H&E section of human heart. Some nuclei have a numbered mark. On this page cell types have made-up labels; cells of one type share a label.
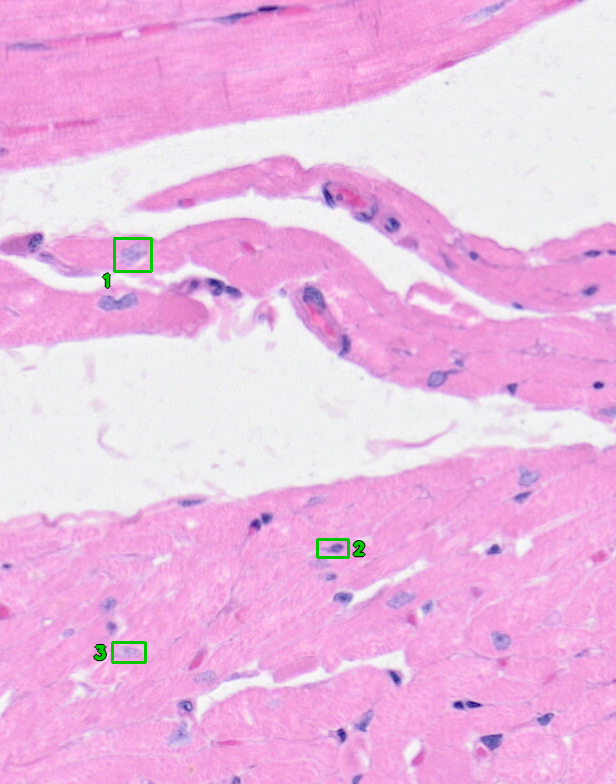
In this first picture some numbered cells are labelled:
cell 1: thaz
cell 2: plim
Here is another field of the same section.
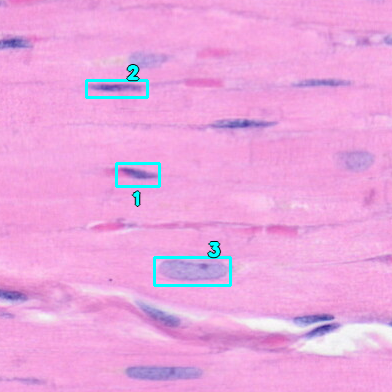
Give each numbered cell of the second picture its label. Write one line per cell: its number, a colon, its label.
1: plim
2: plim
3: thaz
